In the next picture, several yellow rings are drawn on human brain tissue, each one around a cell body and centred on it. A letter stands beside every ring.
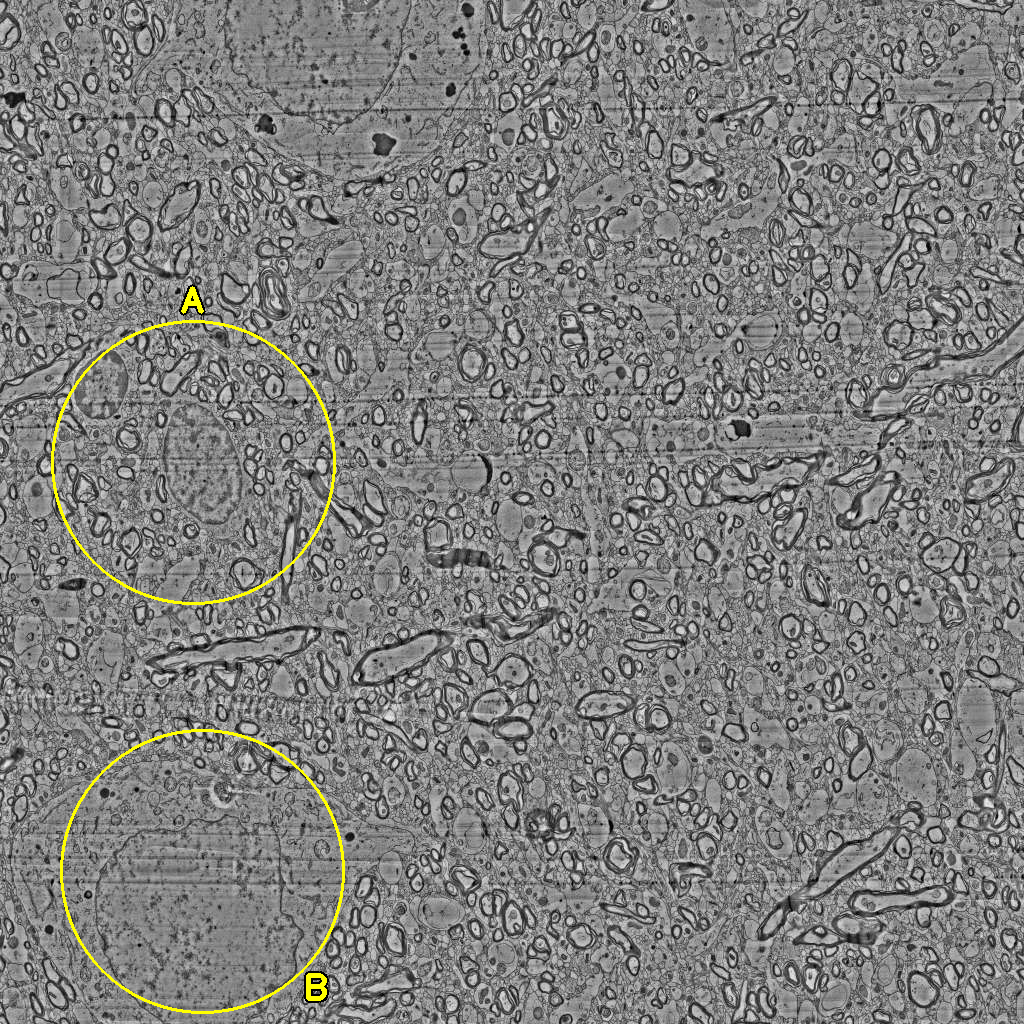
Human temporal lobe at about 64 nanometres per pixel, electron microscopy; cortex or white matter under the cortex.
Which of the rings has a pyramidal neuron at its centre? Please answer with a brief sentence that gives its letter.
Ring B has it at its centre.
